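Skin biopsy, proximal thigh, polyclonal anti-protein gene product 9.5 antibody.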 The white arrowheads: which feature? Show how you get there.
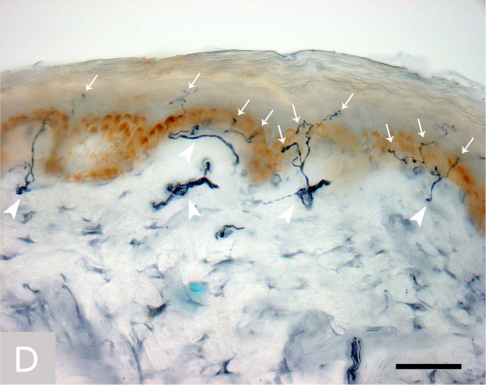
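Thick dark stained cords lie in the upper dermis beneath the epidermis. Fine fibers branch off from them toward the epidermis. The answer: dermal nerve bundles.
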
